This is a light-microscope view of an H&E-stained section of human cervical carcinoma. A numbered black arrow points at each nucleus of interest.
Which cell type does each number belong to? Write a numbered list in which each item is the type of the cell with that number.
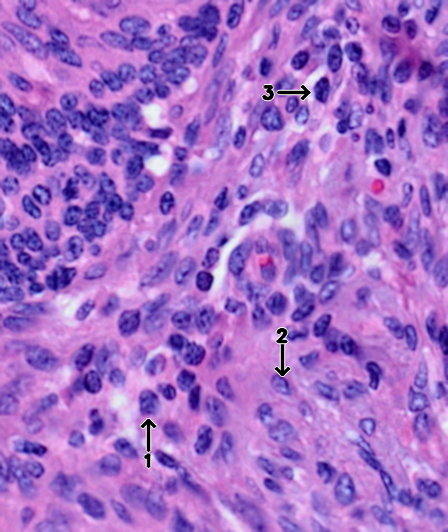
1. lymphocyte
2. smooth muscle cell
3. lymphocyte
